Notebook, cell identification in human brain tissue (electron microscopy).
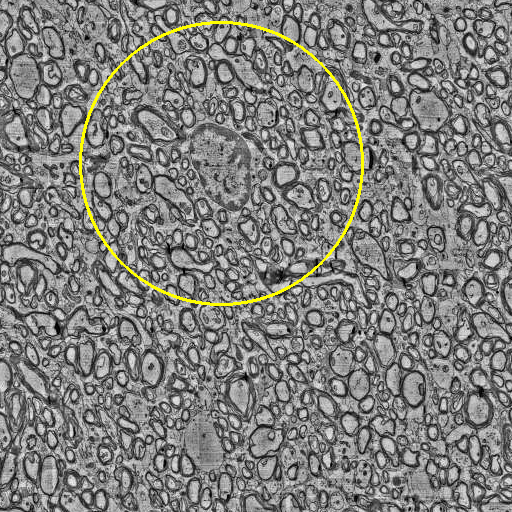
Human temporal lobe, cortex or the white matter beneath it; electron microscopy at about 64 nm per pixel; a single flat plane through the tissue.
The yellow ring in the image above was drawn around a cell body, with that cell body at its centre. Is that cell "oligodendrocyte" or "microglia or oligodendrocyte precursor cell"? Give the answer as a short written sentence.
The cell in the ring is a microglial cell or oligodendrocyte precursor cell.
